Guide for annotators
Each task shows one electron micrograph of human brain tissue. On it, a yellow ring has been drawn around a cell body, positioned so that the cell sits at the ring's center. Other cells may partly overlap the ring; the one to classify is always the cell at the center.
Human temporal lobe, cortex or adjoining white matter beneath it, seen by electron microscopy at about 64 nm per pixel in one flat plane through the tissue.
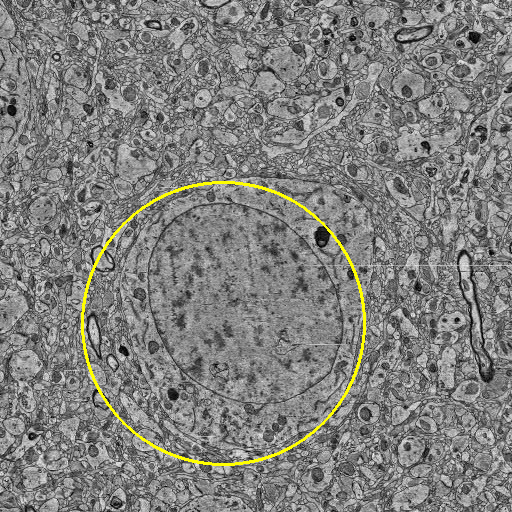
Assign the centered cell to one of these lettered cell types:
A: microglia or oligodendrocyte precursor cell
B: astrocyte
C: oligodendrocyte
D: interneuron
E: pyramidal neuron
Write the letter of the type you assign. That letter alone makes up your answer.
E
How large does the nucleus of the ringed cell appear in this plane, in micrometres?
About 14 by 12 micrometers for the nucleus, in this plane.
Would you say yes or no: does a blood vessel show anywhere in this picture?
No, the image shows no blood vessel.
